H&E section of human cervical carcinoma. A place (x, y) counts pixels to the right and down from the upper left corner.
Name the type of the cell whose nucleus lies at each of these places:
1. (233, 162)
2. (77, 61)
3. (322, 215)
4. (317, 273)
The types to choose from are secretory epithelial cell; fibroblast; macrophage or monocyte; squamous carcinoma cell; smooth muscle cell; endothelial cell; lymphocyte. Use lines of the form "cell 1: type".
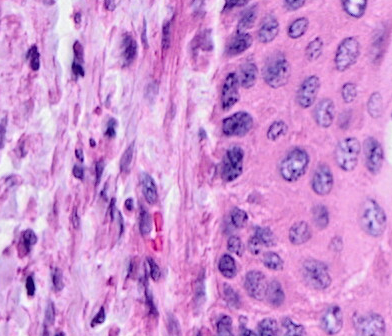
cell 1: squamous carcinoma cell
cell 2: fibroblast
cell 3: squamous carcinoma cell
cell 4: squamous carcinoma cell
